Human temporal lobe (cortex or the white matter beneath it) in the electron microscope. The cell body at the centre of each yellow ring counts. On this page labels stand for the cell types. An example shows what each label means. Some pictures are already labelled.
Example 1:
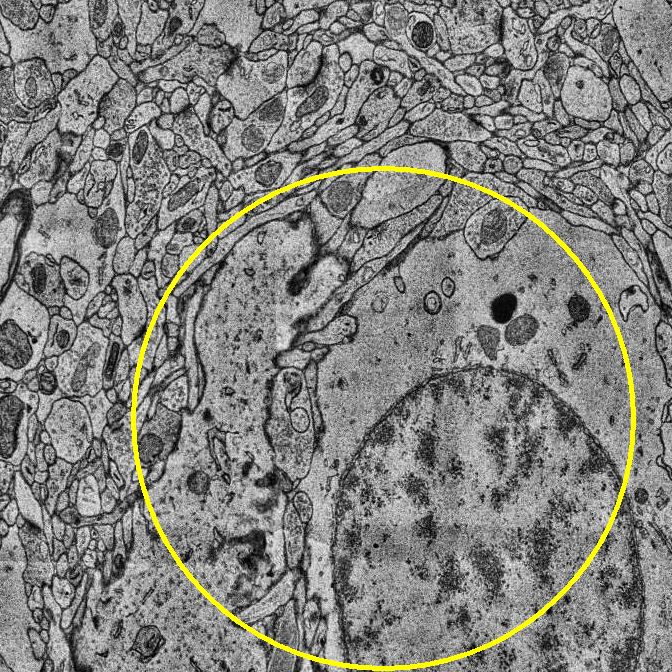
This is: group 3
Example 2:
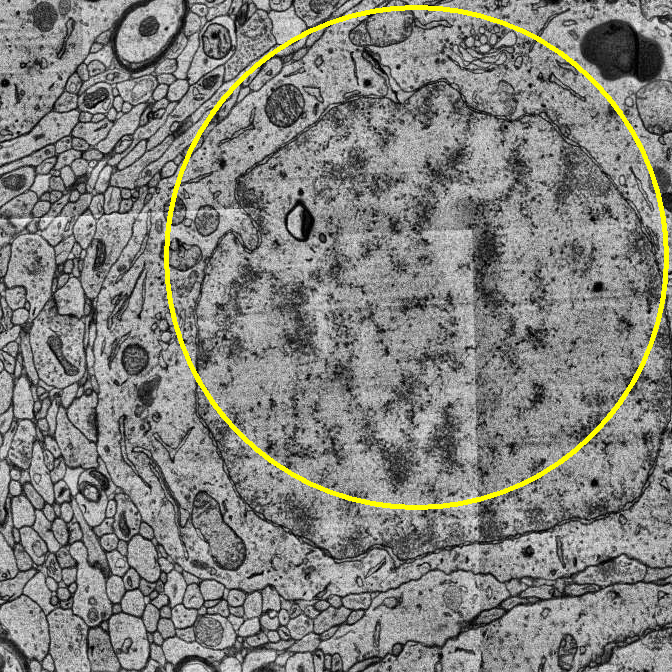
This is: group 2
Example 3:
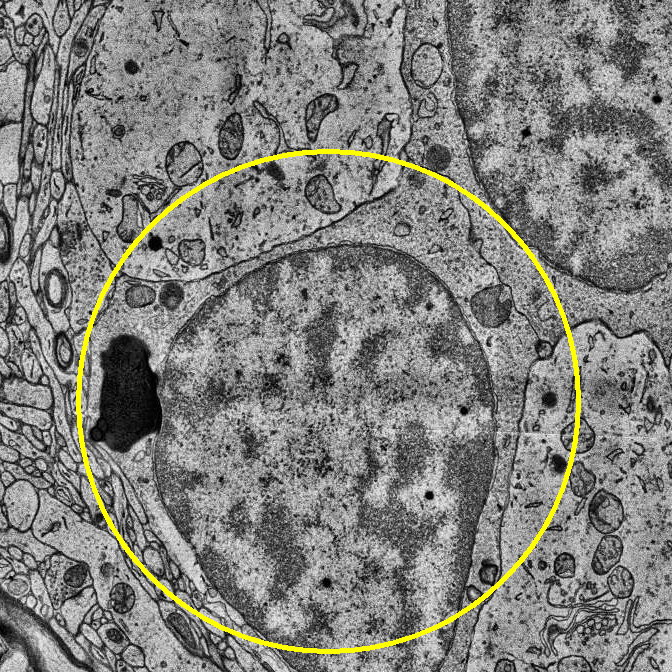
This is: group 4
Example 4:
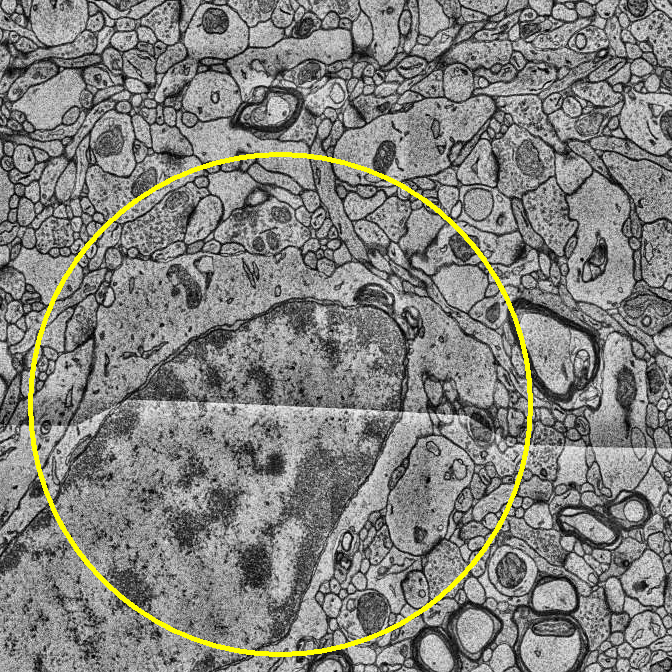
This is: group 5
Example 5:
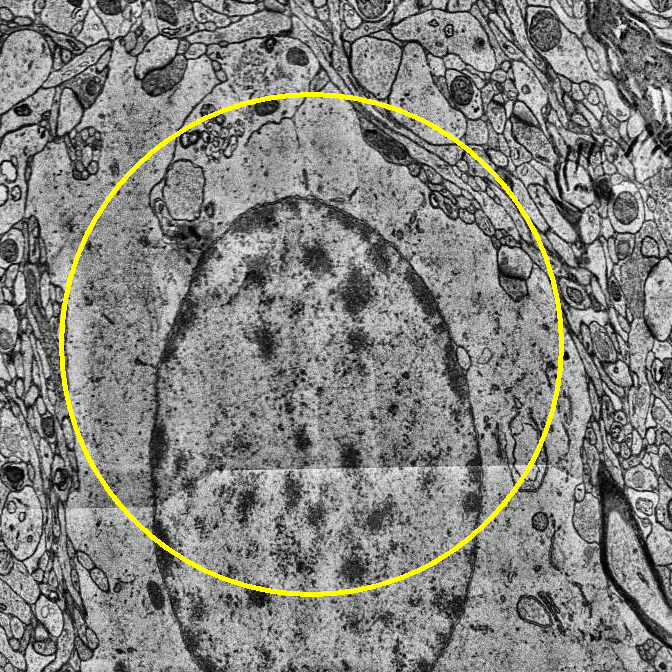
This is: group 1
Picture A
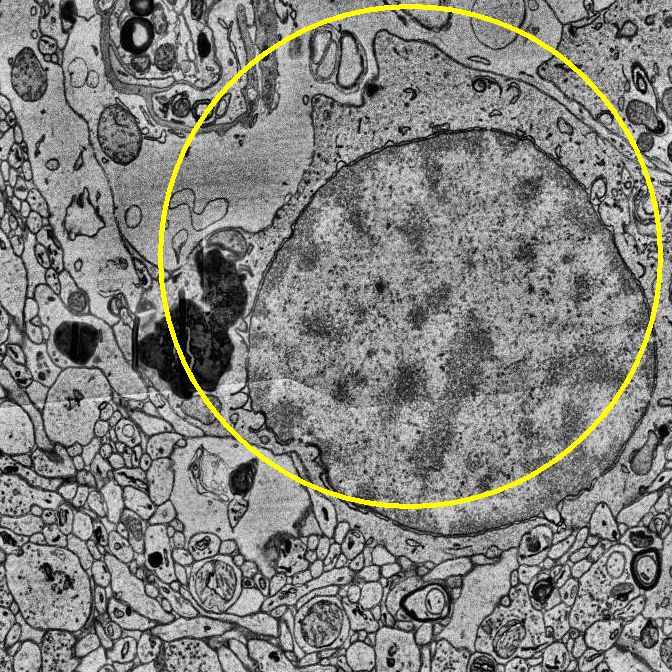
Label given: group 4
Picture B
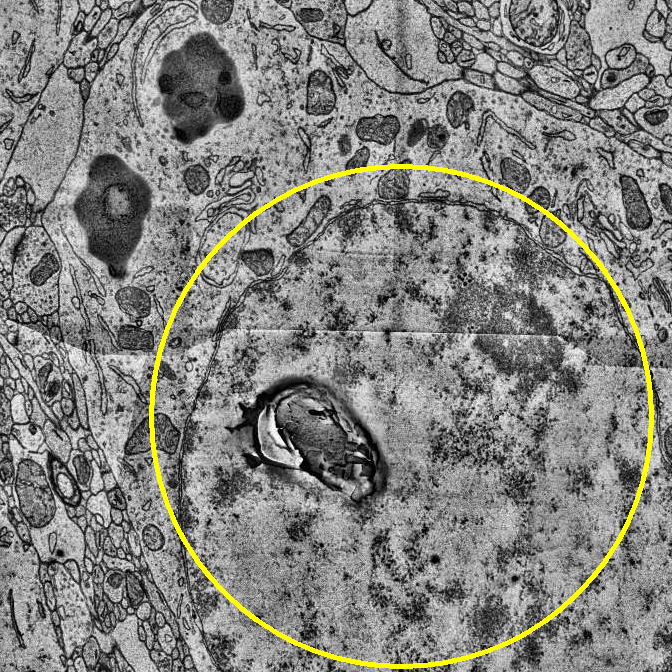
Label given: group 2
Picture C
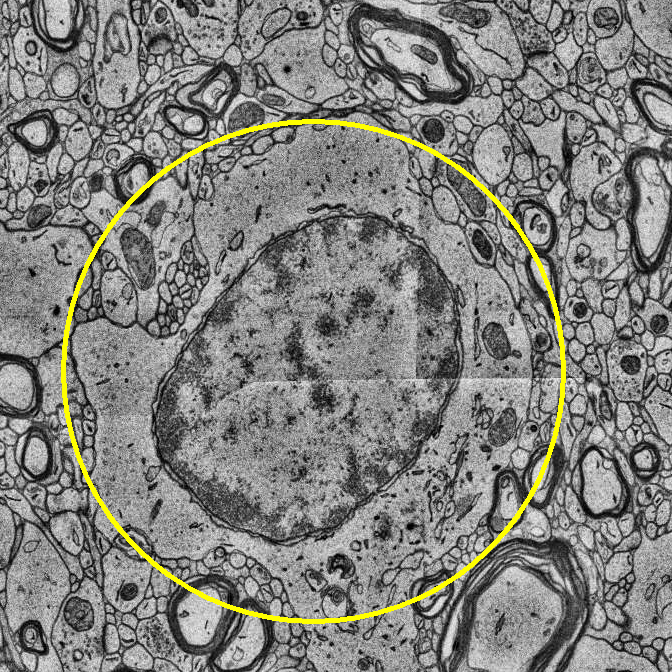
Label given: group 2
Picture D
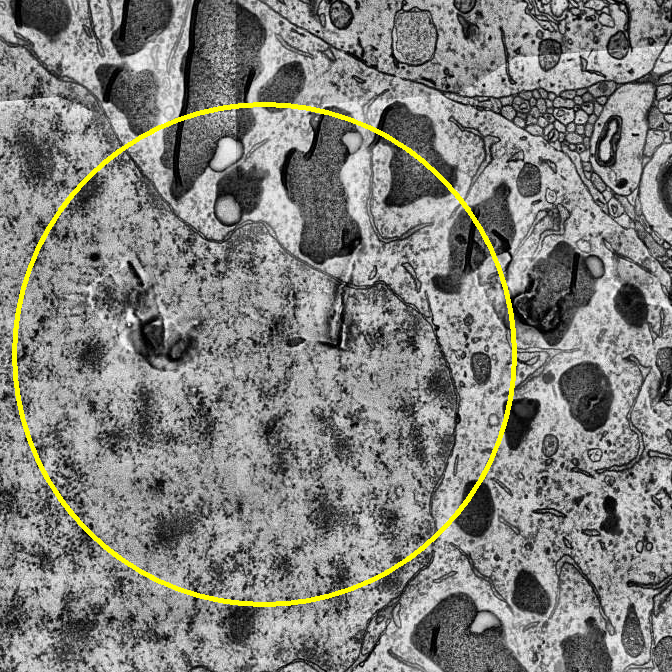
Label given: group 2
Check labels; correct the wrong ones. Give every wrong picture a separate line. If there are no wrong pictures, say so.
C: not group 2 but group 5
